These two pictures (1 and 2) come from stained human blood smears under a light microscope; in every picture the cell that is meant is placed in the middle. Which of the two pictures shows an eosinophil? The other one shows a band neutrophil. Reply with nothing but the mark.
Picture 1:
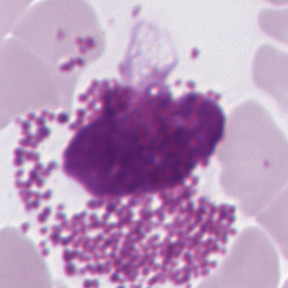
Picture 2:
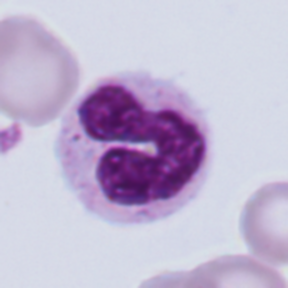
1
